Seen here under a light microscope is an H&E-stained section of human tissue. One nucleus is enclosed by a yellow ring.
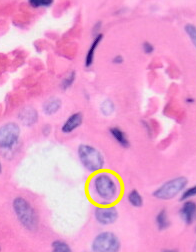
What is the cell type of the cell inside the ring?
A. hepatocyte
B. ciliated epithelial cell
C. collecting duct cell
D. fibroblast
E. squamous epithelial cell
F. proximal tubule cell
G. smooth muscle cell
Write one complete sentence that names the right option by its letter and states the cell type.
Among the choices, option C is correct, the cell inside the ring being a collecting duct cell.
